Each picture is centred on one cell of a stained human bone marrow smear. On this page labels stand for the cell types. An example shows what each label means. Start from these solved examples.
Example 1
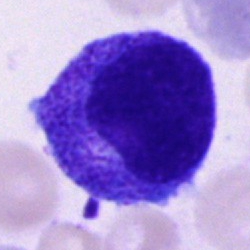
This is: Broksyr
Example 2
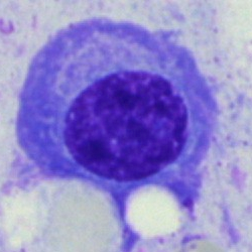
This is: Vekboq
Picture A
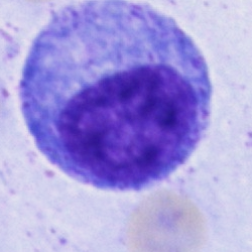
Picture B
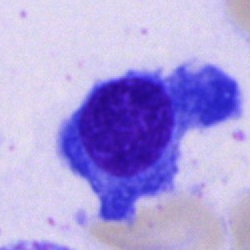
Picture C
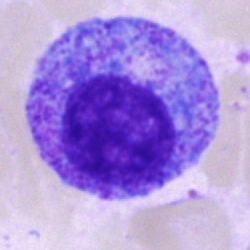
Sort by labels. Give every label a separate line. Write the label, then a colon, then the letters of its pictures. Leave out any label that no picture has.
Broksyr: A, C
Vekboq: B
